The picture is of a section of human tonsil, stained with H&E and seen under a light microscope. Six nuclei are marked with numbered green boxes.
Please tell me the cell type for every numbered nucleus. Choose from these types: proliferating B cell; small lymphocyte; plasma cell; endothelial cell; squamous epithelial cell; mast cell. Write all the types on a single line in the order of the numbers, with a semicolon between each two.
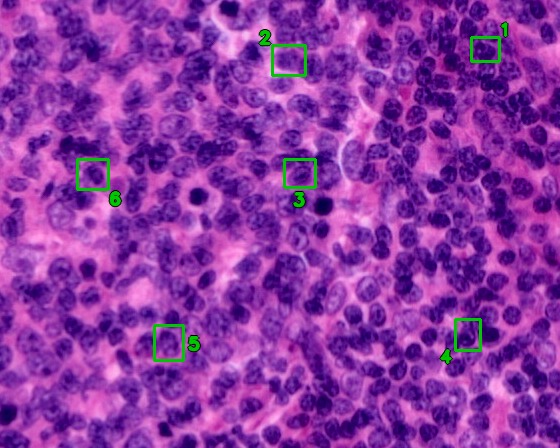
small lymphocyte; proliferating B cell; proliferating B cell; small lymphocyte; proliferating B cell; proliferating B cell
